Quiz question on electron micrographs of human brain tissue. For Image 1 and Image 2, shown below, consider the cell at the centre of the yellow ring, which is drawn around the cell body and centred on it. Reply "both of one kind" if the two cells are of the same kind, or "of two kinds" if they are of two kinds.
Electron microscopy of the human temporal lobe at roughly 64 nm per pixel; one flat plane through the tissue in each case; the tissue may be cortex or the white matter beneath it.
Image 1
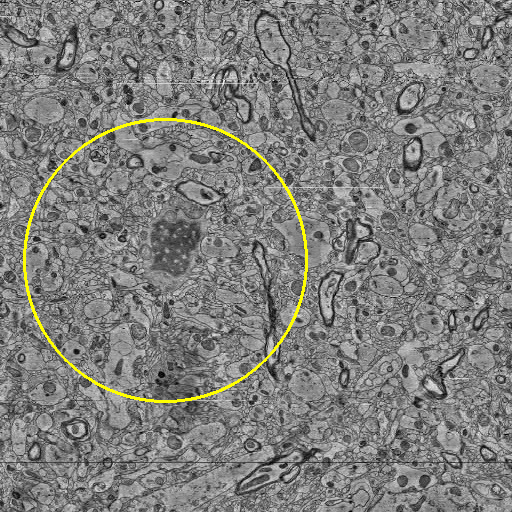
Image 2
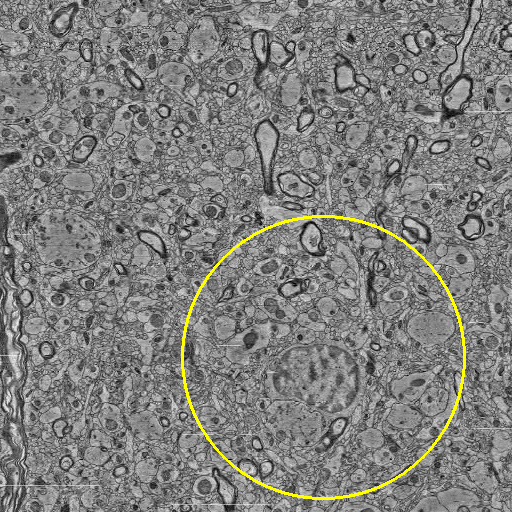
both of one kind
